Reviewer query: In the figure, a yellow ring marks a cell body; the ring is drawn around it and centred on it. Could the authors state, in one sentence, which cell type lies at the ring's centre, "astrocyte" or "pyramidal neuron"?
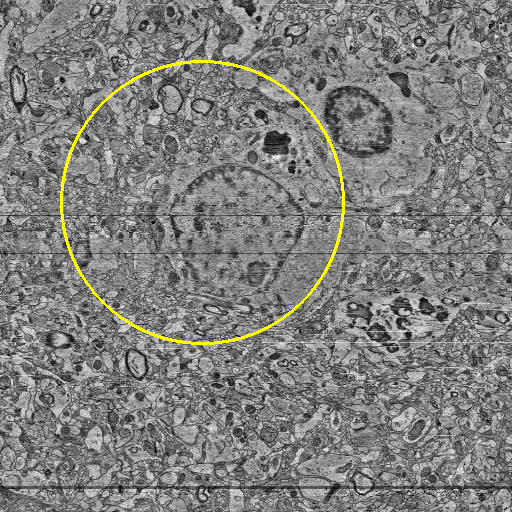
The ring is centred on an astrocyte.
